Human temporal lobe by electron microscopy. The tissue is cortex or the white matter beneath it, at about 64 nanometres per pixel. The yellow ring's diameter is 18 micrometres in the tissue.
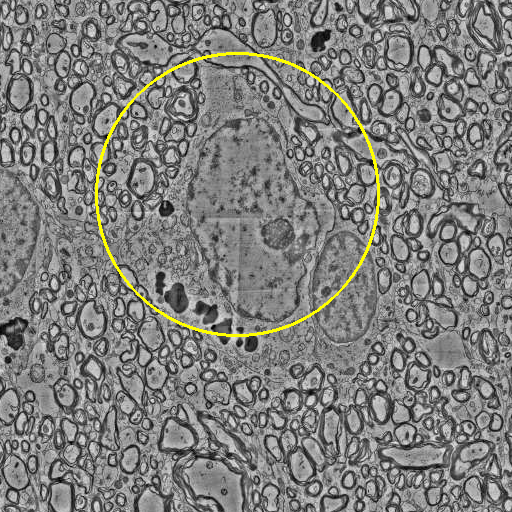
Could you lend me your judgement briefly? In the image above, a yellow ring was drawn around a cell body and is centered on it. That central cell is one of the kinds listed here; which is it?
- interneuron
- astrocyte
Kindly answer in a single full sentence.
Going by the list, an interneuron is the kind at the ring's center in the picture.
